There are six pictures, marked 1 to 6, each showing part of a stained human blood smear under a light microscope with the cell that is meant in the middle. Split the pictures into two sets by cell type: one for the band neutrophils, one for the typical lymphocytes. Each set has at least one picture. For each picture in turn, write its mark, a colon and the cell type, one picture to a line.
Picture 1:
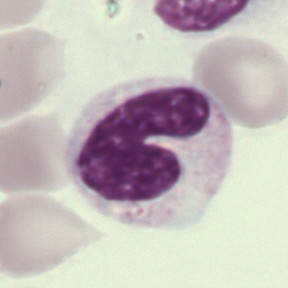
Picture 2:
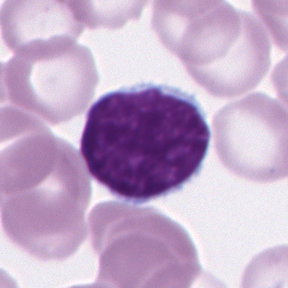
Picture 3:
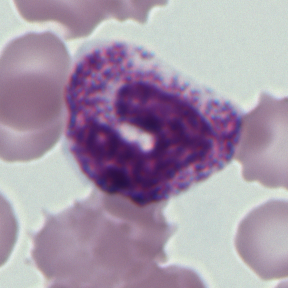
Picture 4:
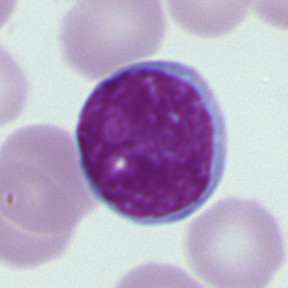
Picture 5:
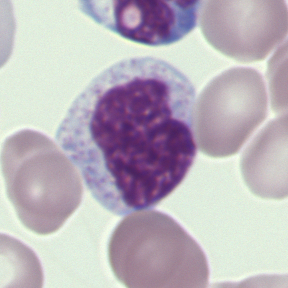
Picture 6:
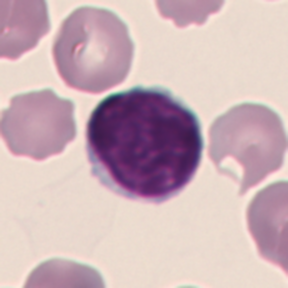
1: band neutrophil
2: typical lymphocyte
3: band neutrophil
4: typical lymphocyte
5: band neutrophil
6: typical lymphocyte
